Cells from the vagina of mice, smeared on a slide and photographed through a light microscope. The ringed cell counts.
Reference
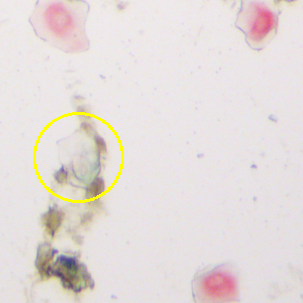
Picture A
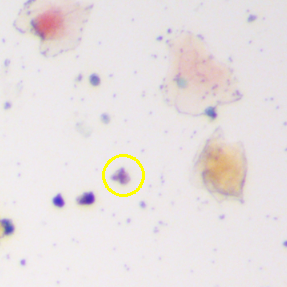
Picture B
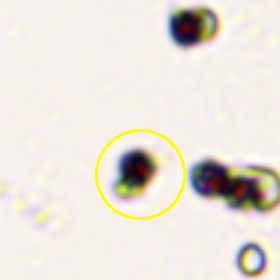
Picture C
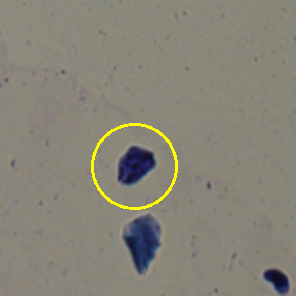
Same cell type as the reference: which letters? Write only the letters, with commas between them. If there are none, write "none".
C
